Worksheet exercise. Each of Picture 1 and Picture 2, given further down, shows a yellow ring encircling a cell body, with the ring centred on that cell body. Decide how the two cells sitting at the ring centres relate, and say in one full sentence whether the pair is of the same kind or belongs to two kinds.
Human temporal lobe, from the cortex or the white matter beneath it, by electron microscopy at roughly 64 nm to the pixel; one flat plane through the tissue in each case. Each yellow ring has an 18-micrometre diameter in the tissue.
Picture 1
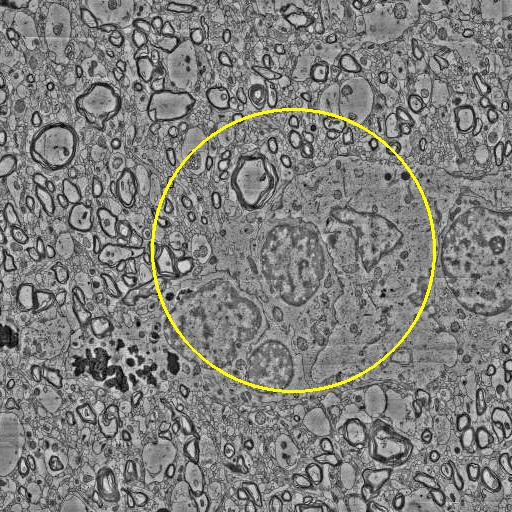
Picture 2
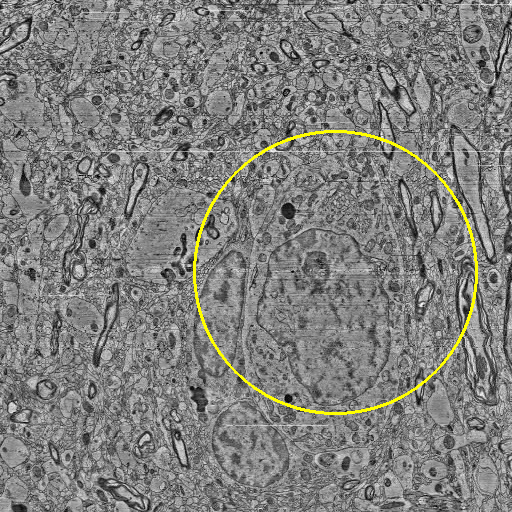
The cells at the ring centres in Picture 1 and Picture 2 belong to two kinds.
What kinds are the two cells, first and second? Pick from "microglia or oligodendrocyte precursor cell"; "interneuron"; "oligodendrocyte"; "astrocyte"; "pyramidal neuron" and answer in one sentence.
The second picture holds an interneuron in its ring, and the first holds an oligodendrocyte.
